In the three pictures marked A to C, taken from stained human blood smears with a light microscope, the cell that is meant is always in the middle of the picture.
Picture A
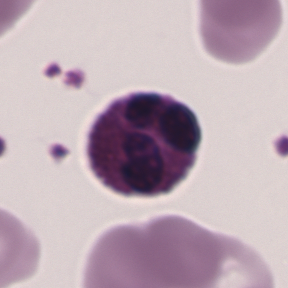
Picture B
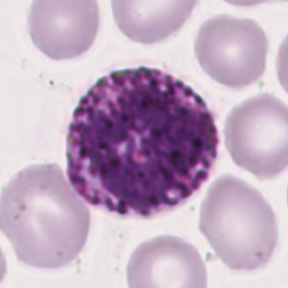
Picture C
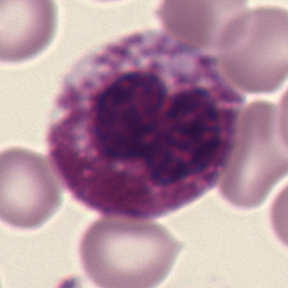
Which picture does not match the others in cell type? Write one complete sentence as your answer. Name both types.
Picture B is the odd one out: it shows a basophil, while the others show eosinophils.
